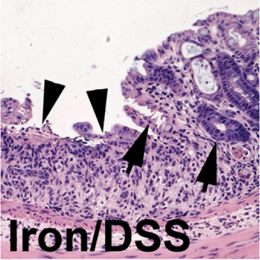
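This section of colon shows a mucosa whose normal array of straight crypts is largely lost, replaced by tissue crowded with purple nuclei. Along the luminal surface, at the arrowheads, the epithelial lining is interrupted and the surface looks ragged, with loose cell debris at its edge. Only a few distorted, dilated glands with pale goblet cells remain toward the upper right. Together these show erosion of the mucosa with severe crypt damage.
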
